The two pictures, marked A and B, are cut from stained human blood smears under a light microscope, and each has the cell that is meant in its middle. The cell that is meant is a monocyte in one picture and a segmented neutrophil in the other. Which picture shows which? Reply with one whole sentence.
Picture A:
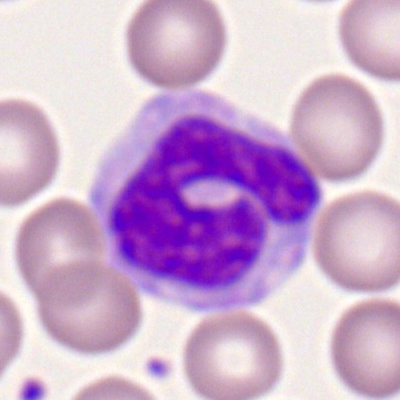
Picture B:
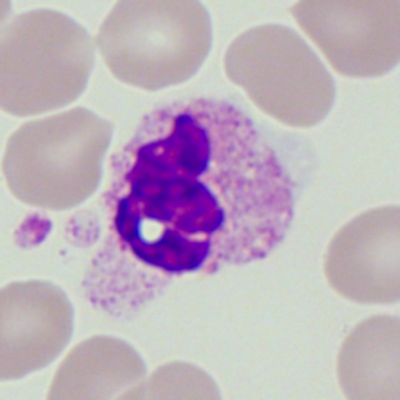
Picture A is of a monocyte, and picture B is of a segmented neutrophil.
